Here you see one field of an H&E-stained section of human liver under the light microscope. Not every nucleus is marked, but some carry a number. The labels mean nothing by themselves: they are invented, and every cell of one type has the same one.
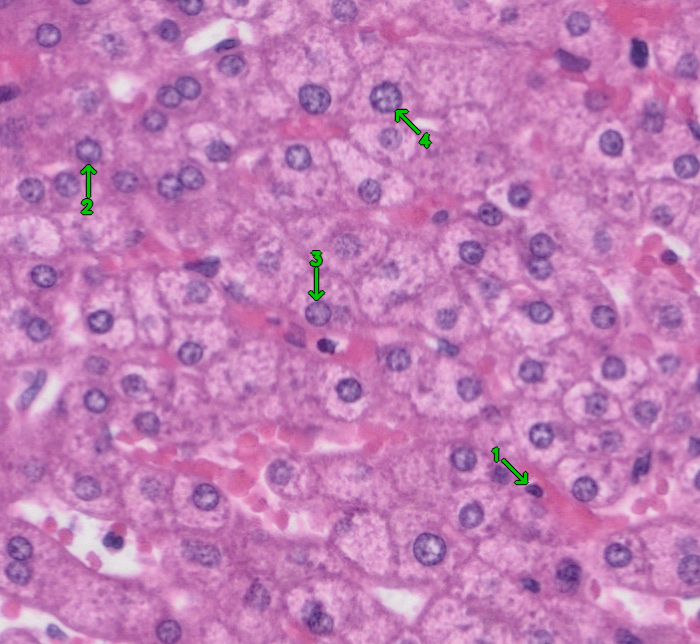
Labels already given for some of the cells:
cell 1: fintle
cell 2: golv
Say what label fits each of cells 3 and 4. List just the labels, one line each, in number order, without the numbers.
golv
golv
